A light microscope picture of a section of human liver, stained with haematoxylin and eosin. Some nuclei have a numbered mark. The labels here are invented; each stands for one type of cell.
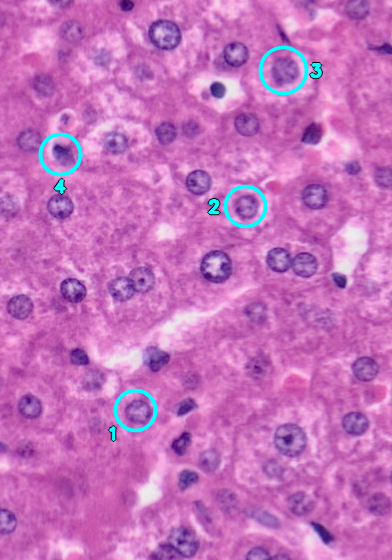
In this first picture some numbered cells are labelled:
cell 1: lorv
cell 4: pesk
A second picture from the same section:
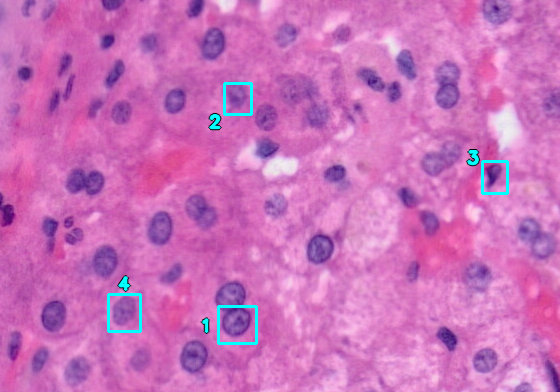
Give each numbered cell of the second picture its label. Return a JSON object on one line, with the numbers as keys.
{"1": "lorv", "2": "lorv", "3": "pesk", "4": "lorv"}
